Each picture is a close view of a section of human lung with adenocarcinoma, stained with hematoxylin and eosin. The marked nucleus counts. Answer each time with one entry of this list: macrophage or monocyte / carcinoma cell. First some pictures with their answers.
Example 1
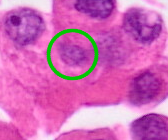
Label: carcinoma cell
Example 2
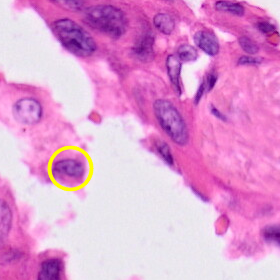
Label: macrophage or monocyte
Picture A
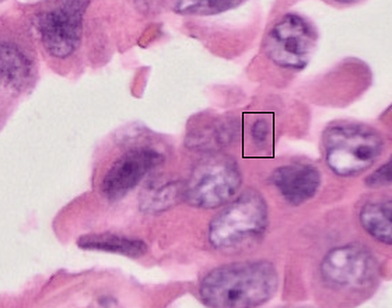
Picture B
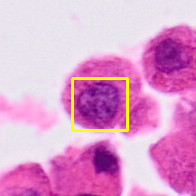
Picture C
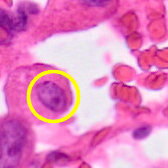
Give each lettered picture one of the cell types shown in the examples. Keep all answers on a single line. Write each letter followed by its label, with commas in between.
A carcinoma cell, B carcinoma cell, C macrophage or monocyte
